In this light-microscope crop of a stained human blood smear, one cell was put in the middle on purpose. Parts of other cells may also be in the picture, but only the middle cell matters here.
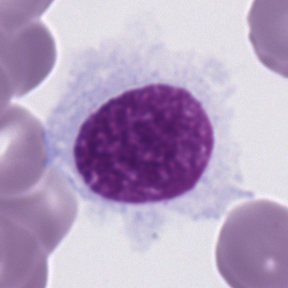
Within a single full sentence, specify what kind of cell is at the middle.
The cell occupying the middle of the crop is a hairy cell.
